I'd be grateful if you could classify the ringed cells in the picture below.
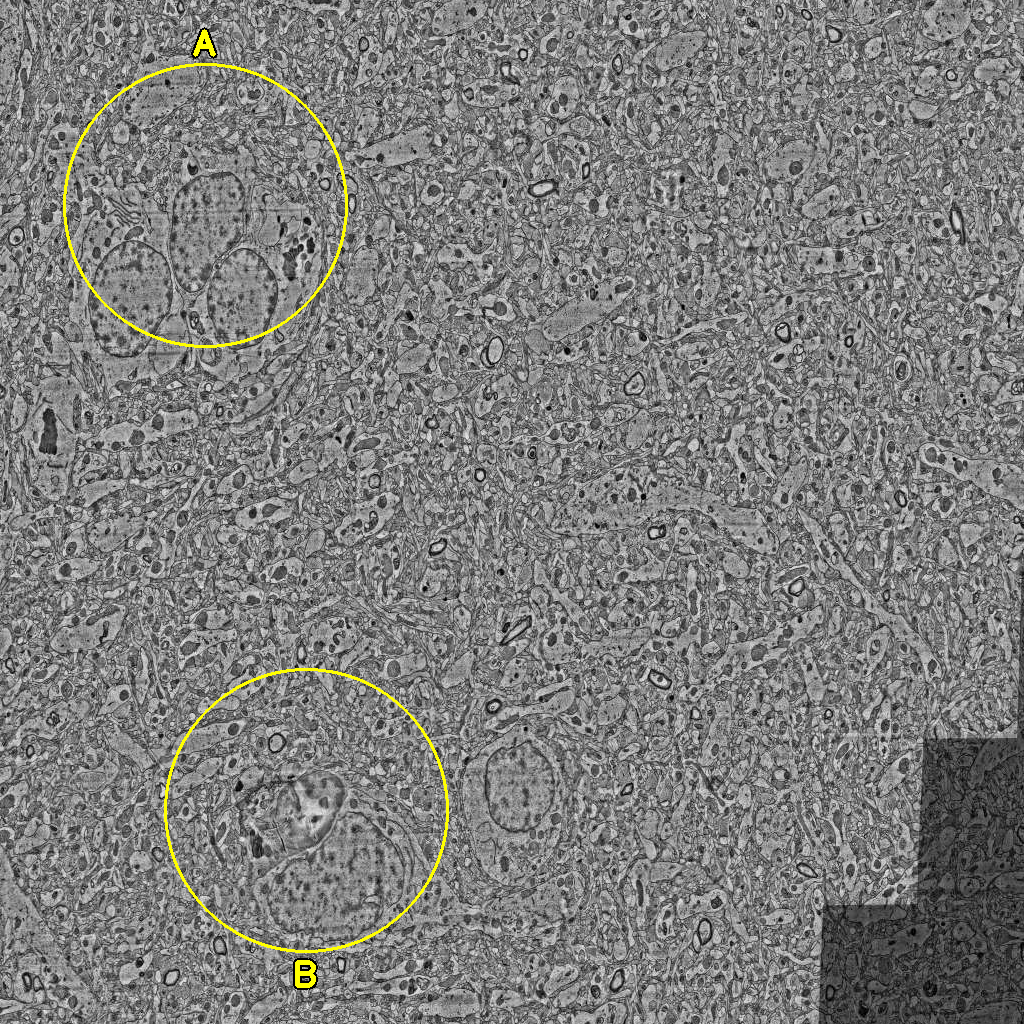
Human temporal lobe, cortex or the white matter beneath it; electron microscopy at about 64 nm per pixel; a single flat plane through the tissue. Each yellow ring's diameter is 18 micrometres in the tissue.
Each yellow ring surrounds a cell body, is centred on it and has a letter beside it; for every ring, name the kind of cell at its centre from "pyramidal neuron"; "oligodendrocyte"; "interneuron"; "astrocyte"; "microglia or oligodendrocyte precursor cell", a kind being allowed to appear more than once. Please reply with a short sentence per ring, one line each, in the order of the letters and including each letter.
In ring A we have an astrocyte.
In ring B we have an oligodendrocyte.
